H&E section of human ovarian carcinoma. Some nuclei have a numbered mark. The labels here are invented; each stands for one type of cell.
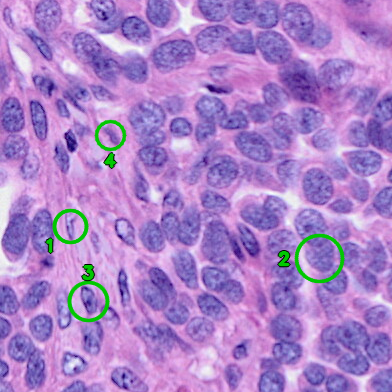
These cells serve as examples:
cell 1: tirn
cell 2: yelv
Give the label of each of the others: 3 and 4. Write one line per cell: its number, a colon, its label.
3: tirn
4: tirn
